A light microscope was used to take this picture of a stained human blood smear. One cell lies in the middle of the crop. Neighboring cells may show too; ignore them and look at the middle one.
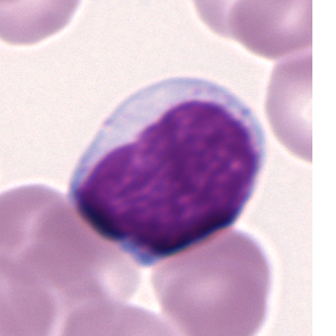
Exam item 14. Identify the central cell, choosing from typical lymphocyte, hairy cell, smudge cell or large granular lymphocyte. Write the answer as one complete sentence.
Whatever else lies nearby, the middle cell is a large granular lymphocyte.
